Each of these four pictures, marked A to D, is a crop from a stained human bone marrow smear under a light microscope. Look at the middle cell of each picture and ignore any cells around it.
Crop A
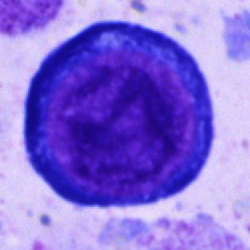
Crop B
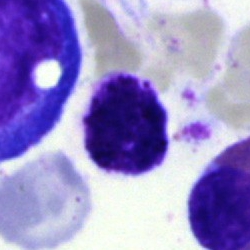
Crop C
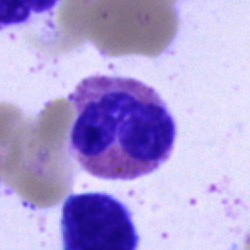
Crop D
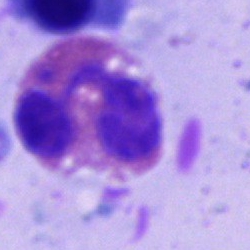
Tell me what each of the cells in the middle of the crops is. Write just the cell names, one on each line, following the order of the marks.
proerythroblast
basophil
eosinophil
eosinophil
